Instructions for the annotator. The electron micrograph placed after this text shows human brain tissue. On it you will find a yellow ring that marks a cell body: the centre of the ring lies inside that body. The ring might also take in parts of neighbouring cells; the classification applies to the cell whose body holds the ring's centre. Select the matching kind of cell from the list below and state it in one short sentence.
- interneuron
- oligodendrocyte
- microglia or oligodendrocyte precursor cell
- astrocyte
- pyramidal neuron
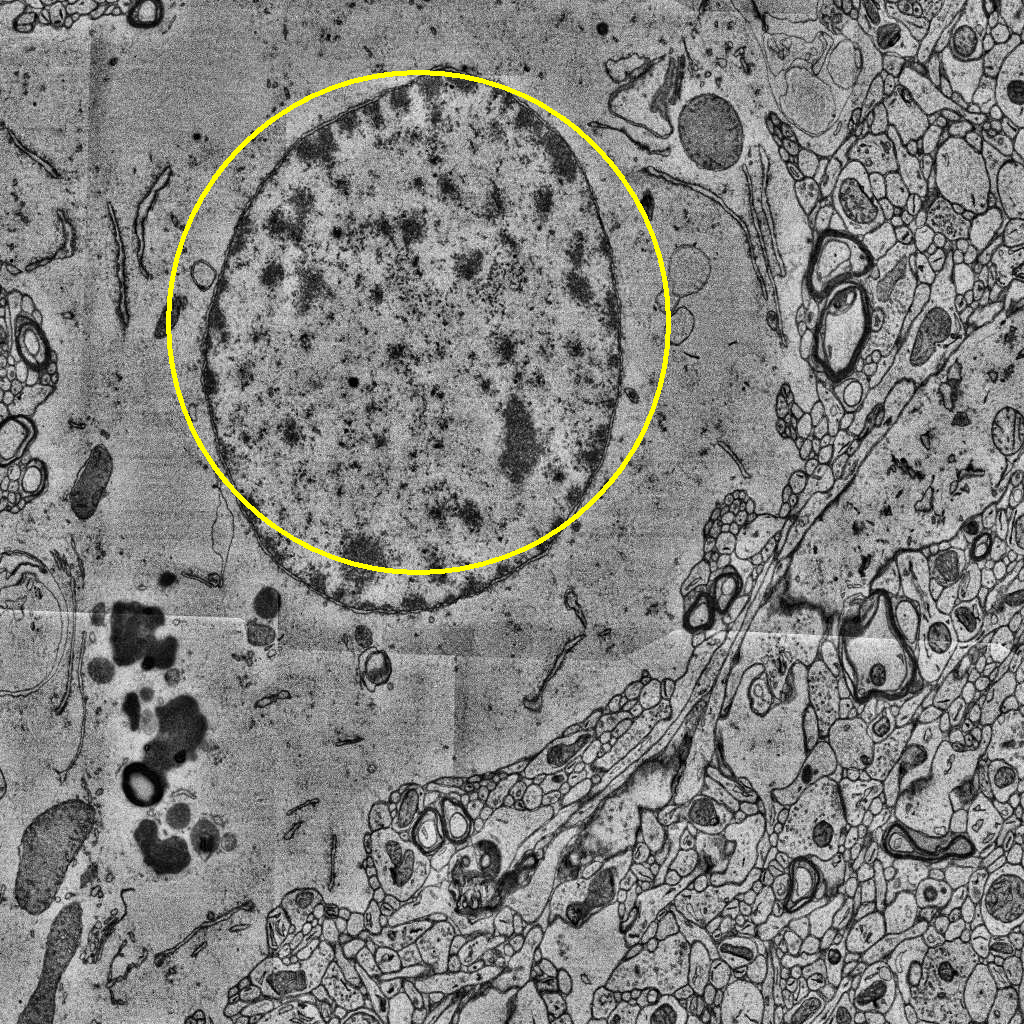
The centre of the ring lies in the cell body of an astrocyte.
